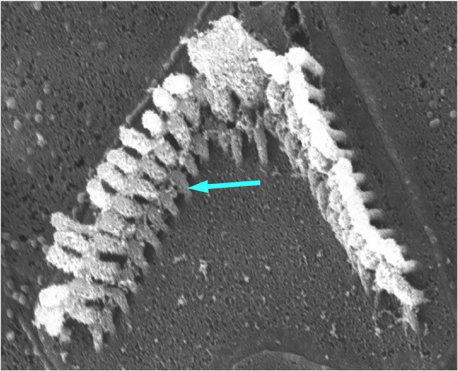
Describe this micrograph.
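A single outer hair cell hair bundle is seen from above at an angle, its stereocilia forming a V-shaped array on the apical cell surface. The stereocilia stand in parallel rows graded in height, with a row of shorter stereocilia beside the tallest row.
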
